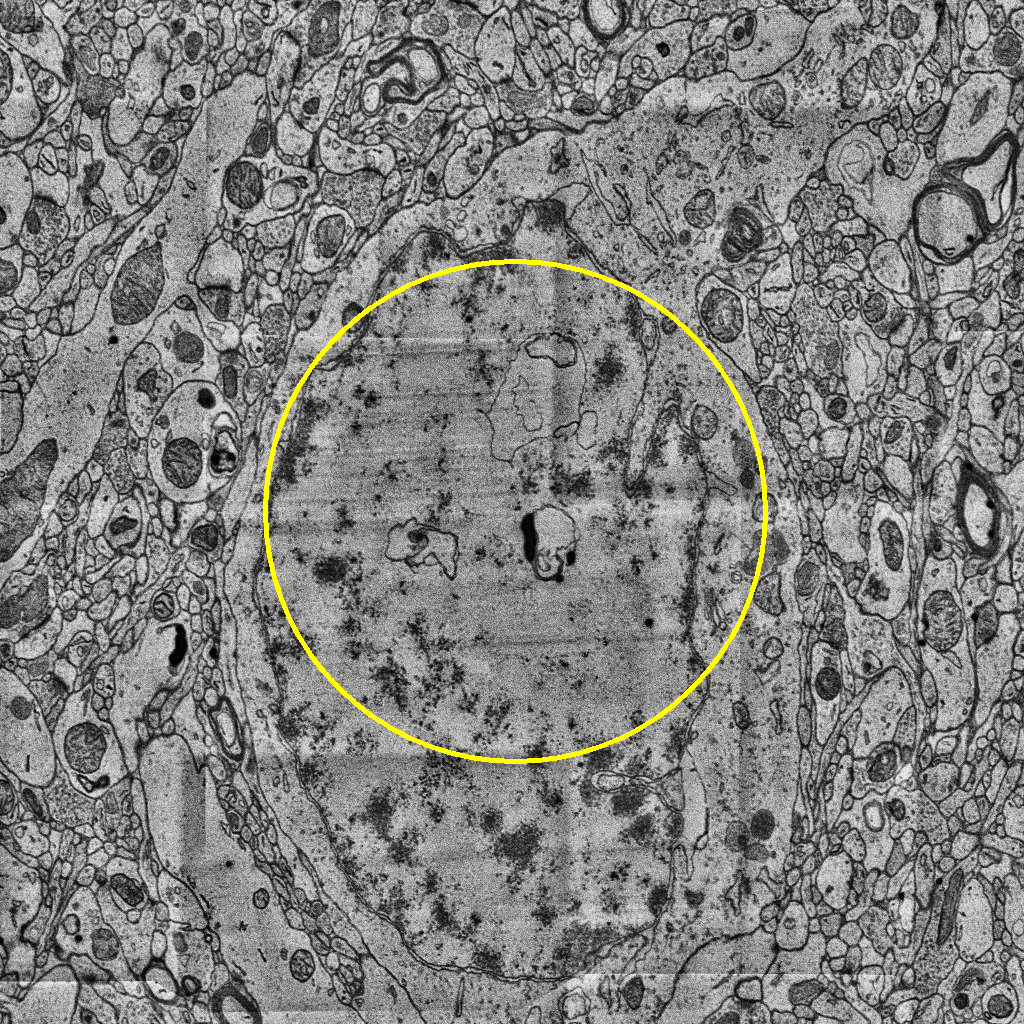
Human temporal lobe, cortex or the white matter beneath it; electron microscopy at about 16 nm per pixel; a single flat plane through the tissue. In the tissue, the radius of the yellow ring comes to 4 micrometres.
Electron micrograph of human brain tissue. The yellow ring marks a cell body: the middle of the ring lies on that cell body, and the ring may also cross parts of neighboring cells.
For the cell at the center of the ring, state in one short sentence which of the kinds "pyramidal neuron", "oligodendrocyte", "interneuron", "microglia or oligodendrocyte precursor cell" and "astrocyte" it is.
This ring's center lies on an interneuron.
